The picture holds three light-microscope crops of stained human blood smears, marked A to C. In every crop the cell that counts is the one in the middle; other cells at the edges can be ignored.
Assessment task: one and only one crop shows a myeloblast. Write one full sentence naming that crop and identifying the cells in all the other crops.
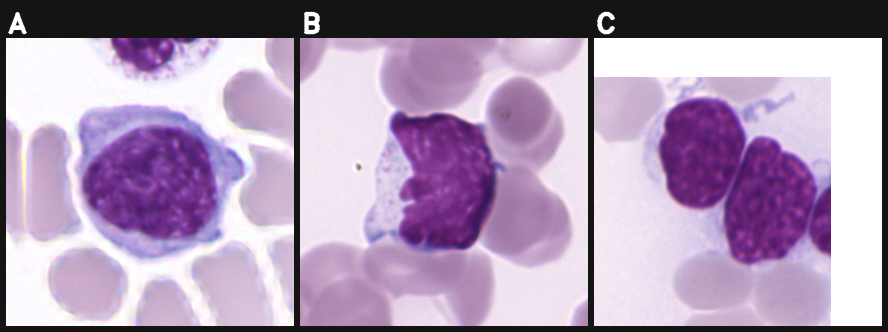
In this set, crop C shows a myeloblast, whereas crop A is a plasma cell and crop B is a large granular lymphocyte.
